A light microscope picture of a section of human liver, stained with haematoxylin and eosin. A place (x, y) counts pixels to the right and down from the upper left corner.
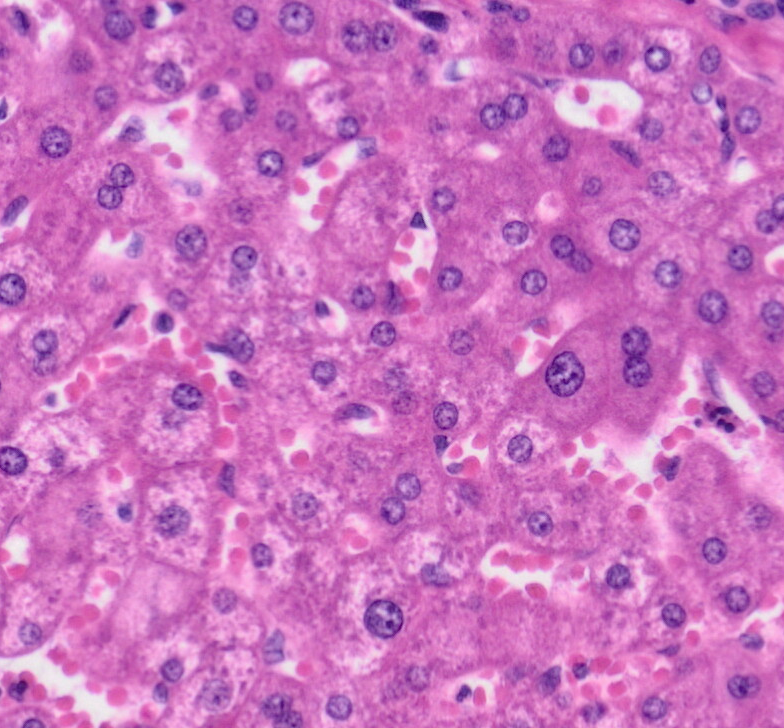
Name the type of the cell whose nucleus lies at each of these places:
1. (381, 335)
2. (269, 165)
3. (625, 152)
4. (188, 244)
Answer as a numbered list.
1. hepatocyte
2. hepatocyte
3. fibroblast or stellate cell
4. hepatocyte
